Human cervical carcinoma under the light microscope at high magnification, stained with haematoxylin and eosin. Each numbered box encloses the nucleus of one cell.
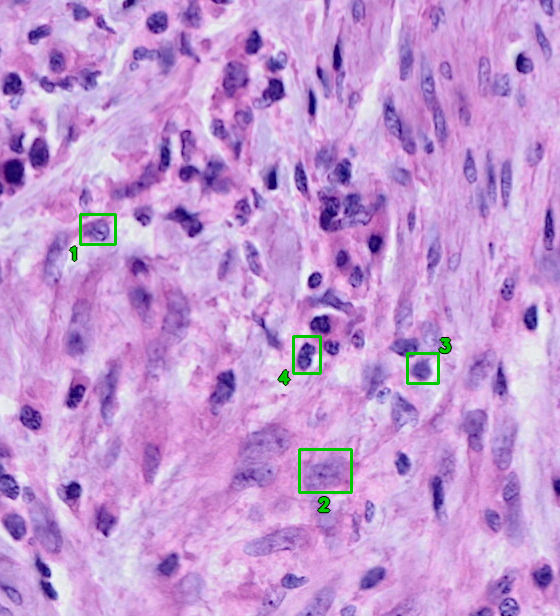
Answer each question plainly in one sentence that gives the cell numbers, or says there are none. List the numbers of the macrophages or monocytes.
Only the cell with number 1 is a macrophage or monocyte.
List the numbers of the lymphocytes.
In this section, the cells labelled 3 and 4 are lymphocytes.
